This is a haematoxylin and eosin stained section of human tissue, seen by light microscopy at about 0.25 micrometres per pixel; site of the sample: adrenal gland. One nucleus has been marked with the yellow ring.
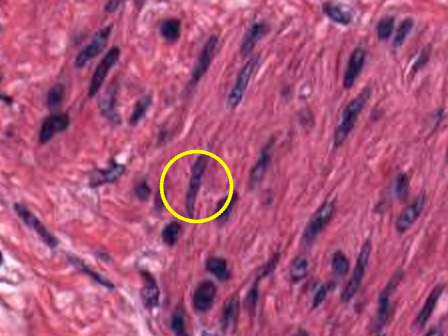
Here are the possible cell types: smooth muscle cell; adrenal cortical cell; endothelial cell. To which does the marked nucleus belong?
smooth muscle cell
